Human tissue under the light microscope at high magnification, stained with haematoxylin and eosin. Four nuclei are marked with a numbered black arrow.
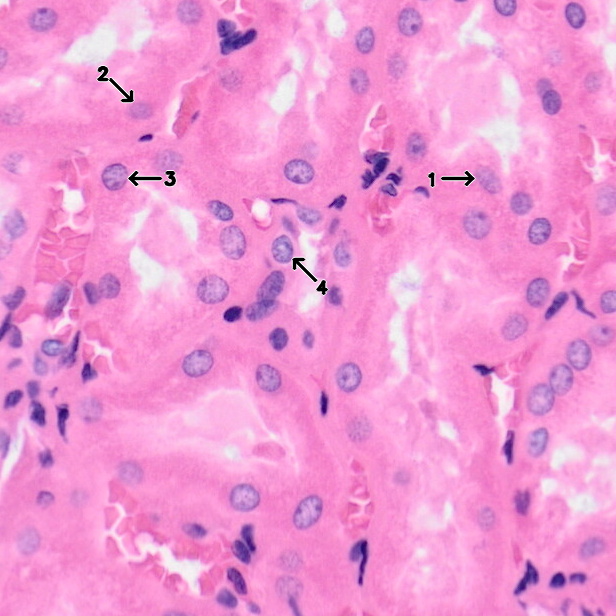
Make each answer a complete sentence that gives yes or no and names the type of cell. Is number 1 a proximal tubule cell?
Yes, the cell identified as number 1 is a proximal tubule cell.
